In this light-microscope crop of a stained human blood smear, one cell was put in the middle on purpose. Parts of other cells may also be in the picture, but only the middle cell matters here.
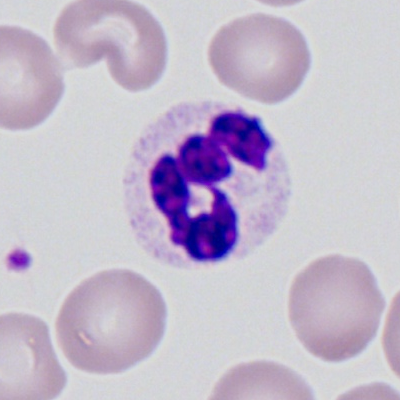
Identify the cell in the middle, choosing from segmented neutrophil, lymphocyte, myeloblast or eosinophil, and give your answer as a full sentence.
Classified as a segmented neutrophil is the cell in the middle of this crop.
